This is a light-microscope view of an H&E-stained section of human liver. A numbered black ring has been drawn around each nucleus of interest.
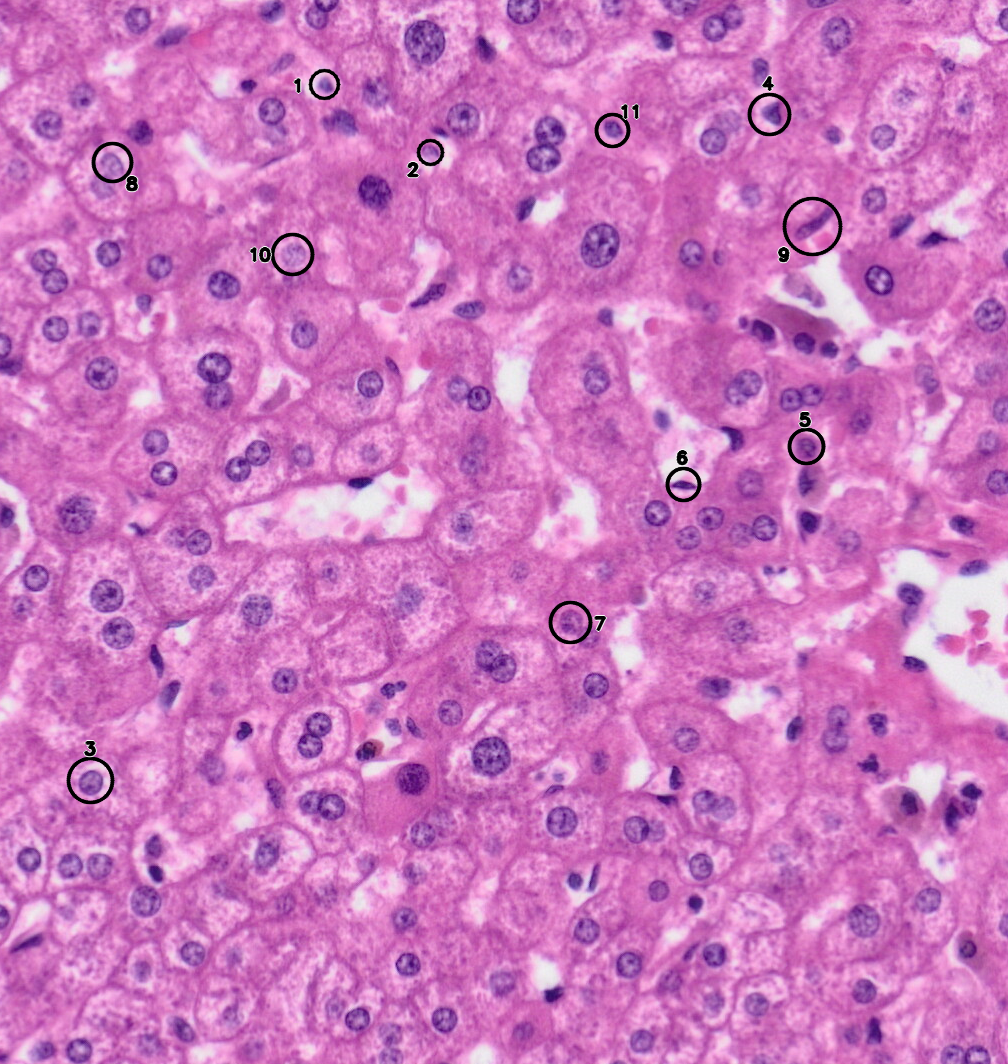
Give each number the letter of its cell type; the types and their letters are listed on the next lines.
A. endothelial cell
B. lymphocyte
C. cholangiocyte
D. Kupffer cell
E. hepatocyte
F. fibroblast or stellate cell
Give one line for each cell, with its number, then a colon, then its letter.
1: B
2: D
3: E
4: A
5: D
6: A
7: E
8: E
9: D
10: E
11: B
